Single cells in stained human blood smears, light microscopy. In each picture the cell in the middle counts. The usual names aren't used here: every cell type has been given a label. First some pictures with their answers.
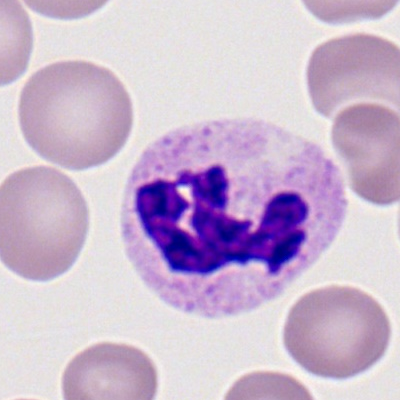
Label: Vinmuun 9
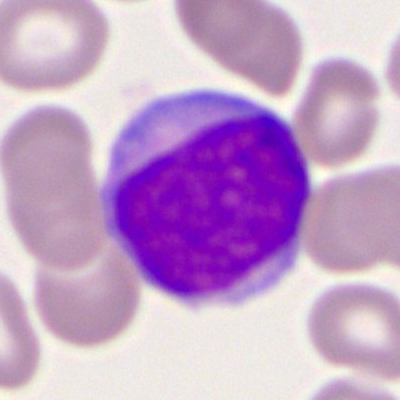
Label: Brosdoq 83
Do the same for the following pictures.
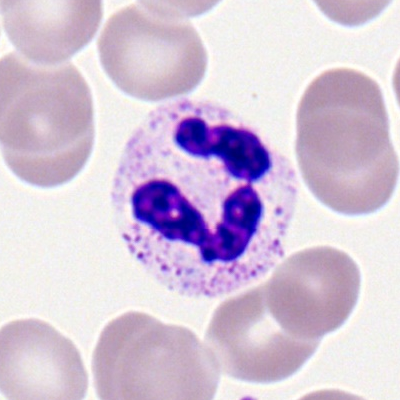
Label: Vinmuun 9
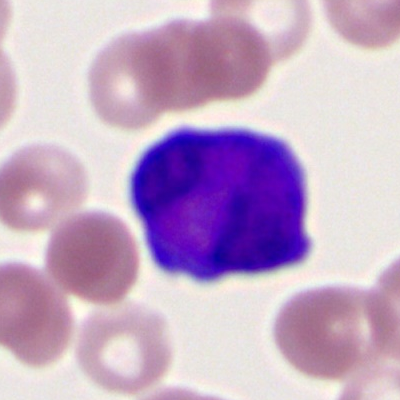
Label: Brosdoq 83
